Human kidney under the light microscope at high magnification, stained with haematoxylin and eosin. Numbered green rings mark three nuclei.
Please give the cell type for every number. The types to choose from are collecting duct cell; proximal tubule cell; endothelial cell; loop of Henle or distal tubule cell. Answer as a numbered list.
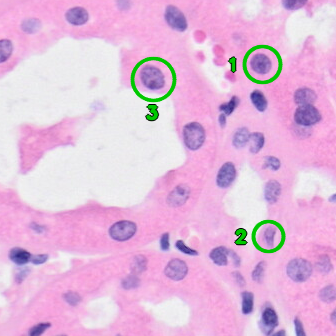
1. proximal tubule cell
2. collecting duct cell
3. proximal tubule cell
